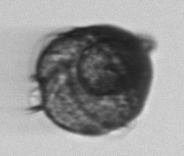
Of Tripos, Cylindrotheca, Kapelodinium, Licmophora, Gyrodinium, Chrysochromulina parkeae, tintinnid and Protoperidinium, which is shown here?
Protoperidinium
